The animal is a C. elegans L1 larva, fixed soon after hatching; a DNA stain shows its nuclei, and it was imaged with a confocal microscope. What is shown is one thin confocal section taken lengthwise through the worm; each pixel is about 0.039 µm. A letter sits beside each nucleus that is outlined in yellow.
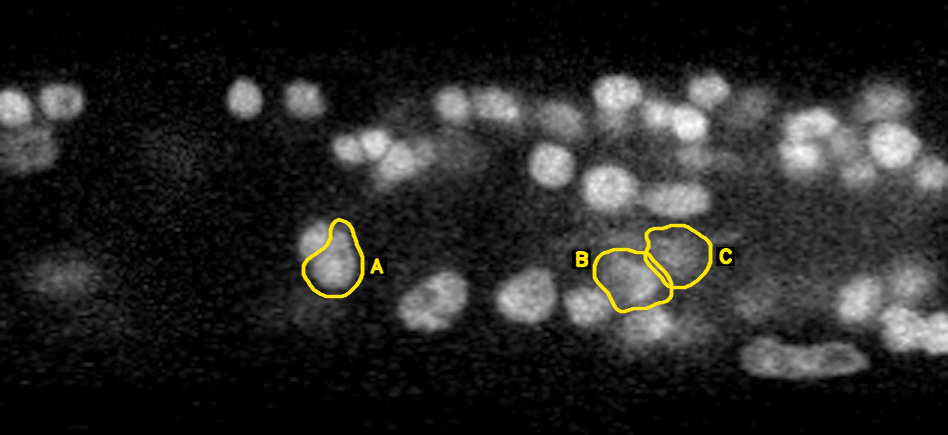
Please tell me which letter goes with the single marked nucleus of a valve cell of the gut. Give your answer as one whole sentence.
It is A that belongs to a valve cell of the gut.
